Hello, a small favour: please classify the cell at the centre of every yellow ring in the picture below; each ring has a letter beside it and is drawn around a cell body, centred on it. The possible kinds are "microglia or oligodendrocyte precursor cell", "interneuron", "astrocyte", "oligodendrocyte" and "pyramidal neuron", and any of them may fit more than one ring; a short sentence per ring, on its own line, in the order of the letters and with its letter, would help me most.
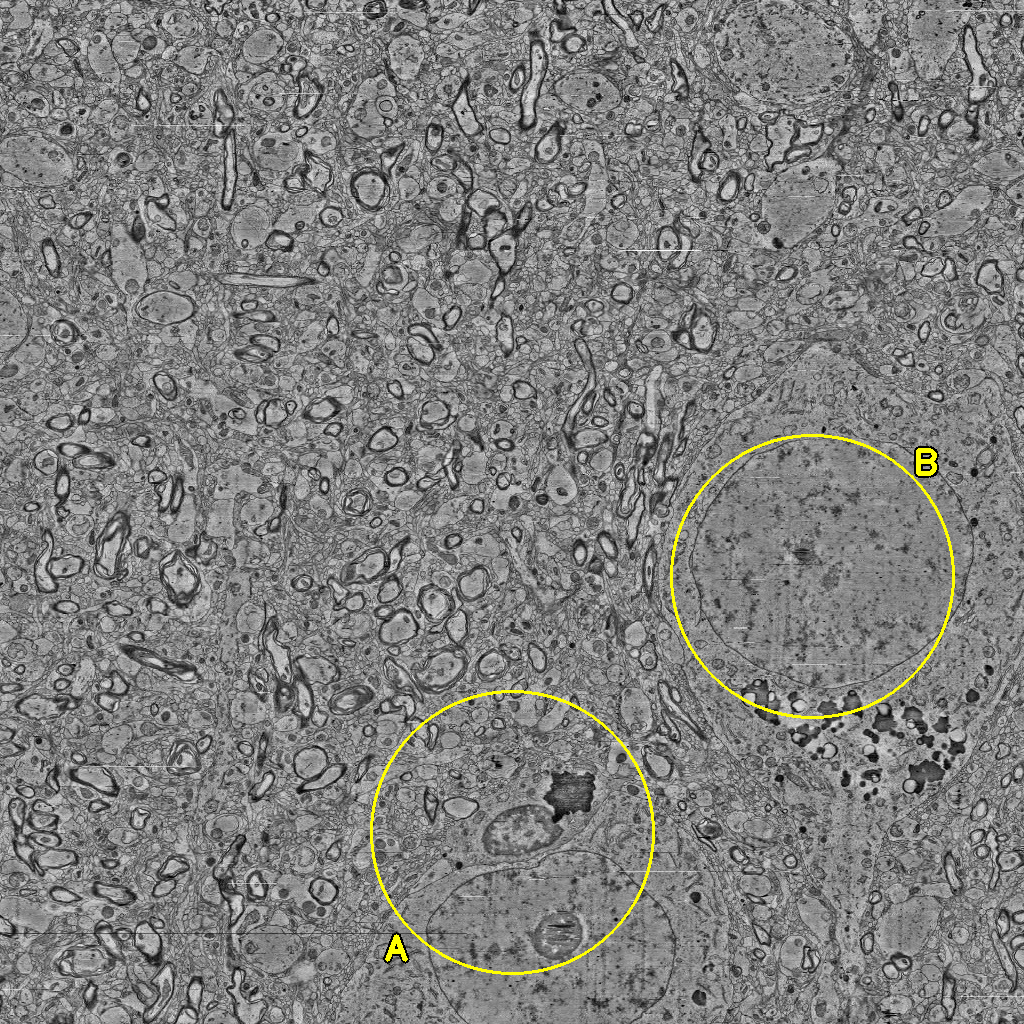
The centre of ring A falls on an oligodendrocyte.
The centre of ring B falls on a pyramidal neuron.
